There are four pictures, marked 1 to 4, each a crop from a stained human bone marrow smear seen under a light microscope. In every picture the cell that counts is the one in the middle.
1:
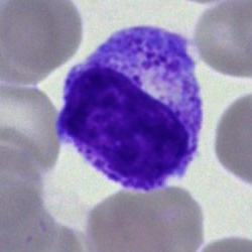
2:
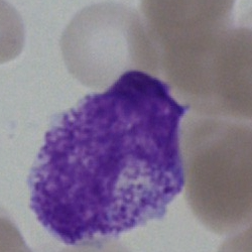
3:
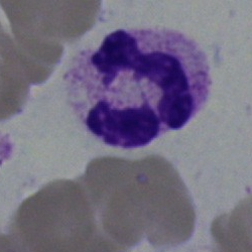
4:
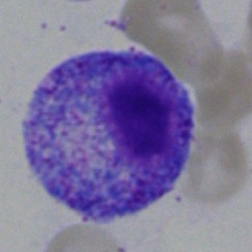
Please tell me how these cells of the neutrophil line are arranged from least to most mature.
4, 1, 2, 3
